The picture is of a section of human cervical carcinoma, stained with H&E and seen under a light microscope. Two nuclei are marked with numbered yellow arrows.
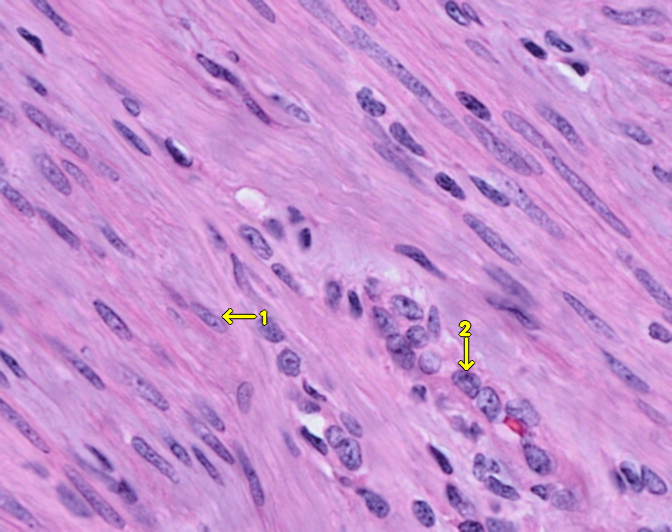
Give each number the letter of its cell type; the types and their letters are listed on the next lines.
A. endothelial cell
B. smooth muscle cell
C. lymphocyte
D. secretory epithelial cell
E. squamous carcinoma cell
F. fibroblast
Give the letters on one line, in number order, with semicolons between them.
B; A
